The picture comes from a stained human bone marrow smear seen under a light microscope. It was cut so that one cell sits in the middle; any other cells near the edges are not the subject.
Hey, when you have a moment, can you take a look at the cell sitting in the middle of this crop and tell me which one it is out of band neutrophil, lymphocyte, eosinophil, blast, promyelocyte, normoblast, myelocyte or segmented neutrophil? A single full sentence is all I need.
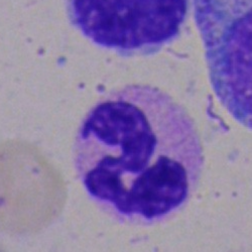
Regarding the central cell, it is a segmented neutrophil.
